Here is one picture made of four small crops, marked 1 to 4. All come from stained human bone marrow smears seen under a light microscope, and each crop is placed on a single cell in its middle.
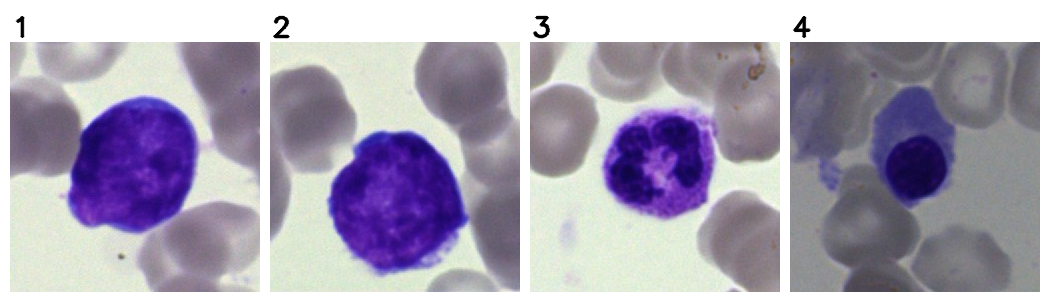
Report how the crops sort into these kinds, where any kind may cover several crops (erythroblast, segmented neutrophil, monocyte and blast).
1: blast
2: blast
3: segmented neutrophil
4: erythroblast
